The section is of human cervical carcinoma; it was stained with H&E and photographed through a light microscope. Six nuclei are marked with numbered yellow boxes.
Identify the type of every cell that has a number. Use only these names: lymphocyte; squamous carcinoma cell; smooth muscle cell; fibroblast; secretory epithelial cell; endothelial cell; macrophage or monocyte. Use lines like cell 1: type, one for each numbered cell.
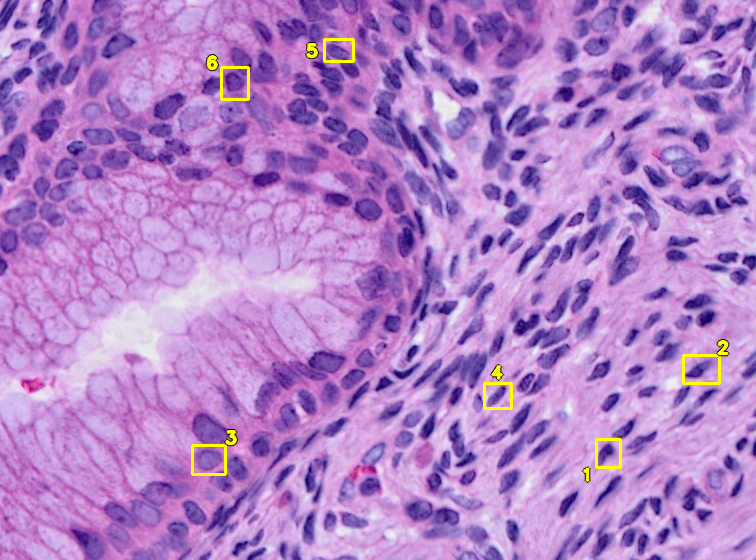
cell 1: fibroblast
cell 2: fibroblast
cell 3: secretory epithelial cell
cell 4: fibroblast
cell 5: secretory epithelial cell
cell 6: secretory epithelial cell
